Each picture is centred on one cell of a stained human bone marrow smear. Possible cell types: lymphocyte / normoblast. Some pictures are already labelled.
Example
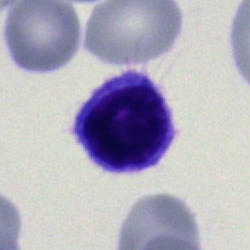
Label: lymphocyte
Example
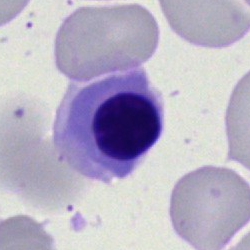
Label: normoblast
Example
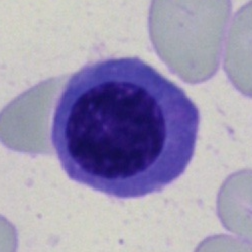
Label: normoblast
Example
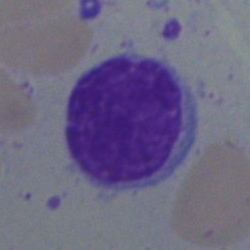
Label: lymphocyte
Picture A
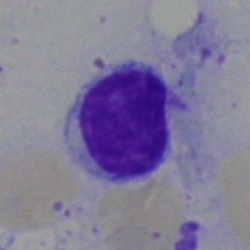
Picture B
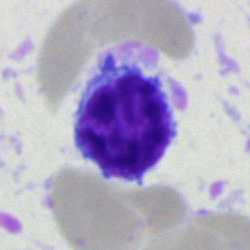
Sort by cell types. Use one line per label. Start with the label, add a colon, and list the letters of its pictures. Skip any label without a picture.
lymphocyte: A, B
